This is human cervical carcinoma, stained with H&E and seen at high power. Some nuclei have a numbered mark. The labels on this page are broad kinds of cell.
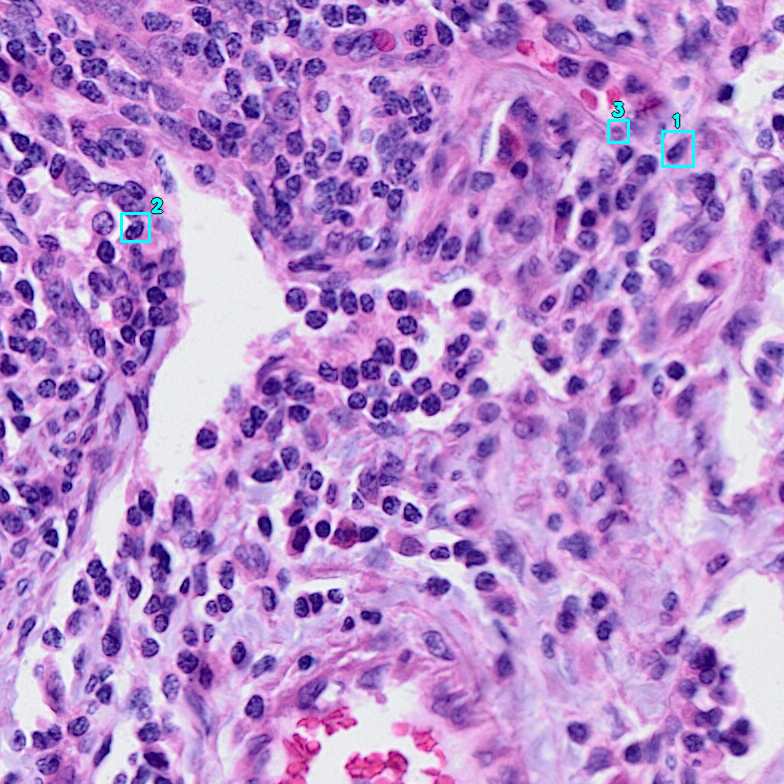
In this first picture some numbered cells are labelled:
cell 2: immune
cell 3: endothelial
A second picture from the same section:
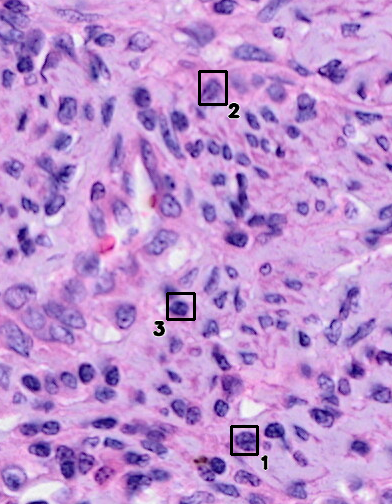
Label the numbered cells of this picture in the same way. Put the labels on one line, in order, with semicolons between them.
immune; endothelial; immune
